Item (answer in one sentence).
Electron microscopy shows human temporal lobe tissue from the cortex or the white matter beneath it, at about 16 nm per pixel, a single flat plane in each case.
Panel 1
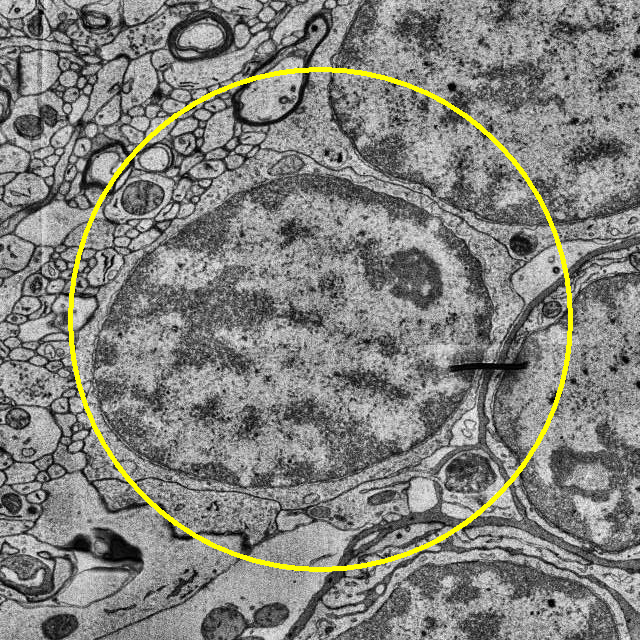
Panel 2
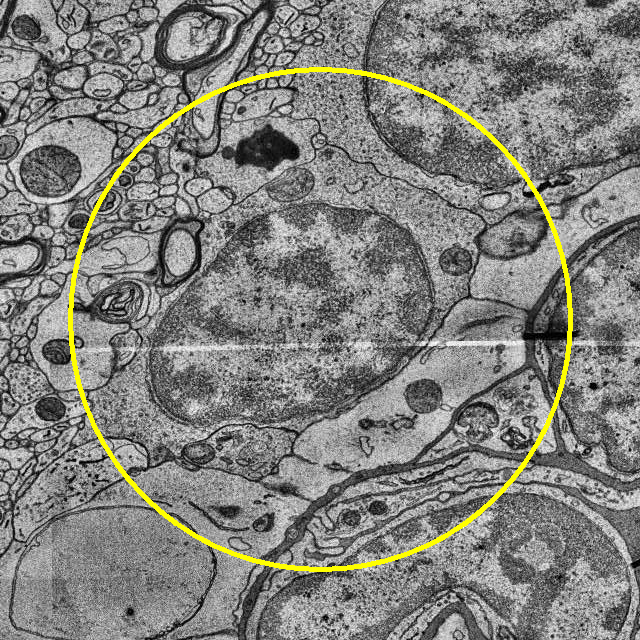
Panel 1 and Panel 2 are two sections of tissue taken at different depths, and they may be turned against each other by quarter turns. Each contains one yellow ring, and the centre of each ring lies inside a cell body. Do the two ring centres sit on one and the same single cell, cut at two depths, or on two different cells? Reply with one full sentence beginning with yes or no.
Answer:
Yes, the two yellow circles hold the same cell.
